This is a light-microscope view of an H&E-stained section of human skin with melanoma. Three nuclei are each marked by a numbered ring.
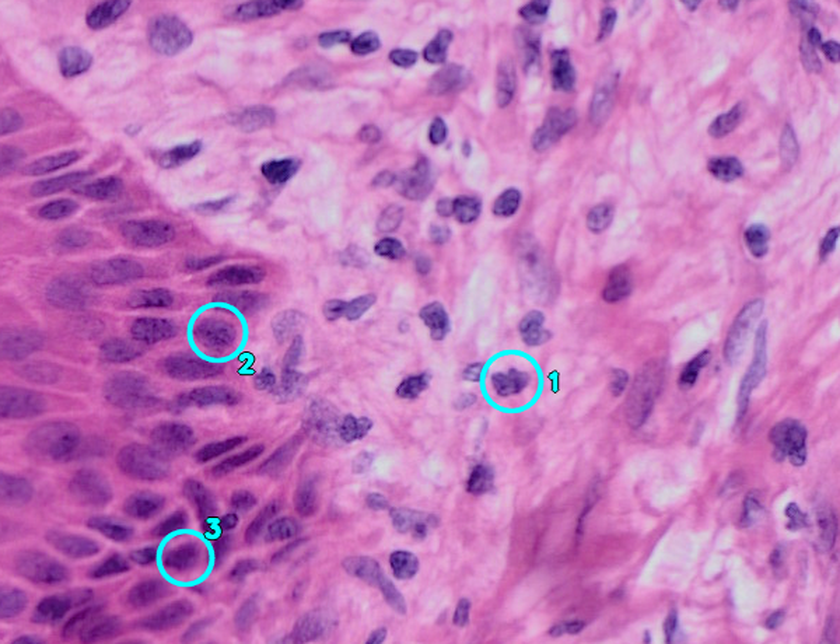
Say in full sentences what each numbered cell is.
Cell 1 is a lymphocyte. Cells 2 and 3 are keratinocytes.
